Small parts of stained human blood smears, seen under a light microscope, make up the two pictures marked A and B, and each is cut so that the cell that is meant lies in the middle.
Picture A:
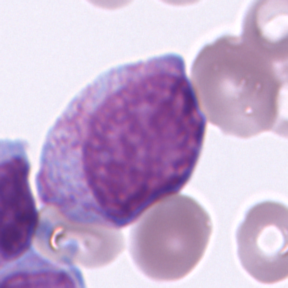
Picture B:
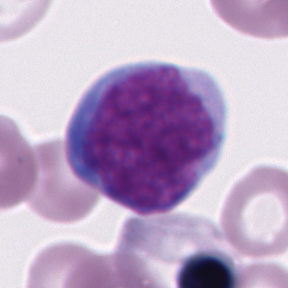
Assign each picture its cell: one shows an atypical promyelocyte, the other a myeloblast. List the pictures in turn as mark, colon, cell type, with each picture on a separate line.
A: atypical promyelocyte
B: myeloblast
